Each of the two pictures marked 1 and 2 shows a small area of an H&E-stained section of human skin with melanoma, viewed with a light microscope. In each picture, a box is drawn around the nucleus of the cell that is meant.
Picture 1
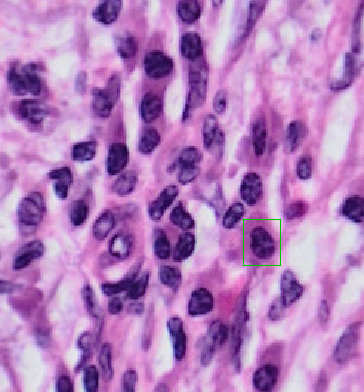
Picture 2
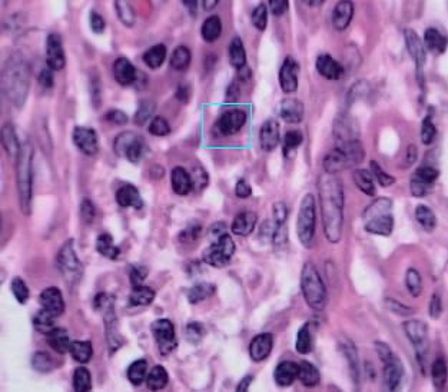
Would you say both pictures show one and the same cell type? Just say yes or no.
yes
